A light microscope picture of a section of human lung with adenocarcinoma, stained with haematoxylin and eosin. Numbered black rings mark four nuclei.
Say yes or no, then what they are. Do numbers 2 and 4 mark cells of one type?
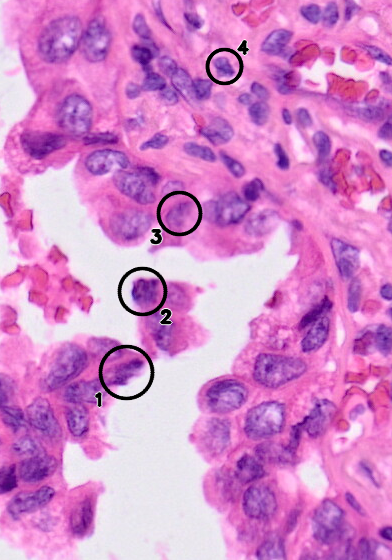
No, cell 2 is a carcinoma cell, and cell 4 is, by contrast, a lymphocyte.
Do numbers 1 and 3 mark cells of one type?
Yes, cells 1 and 3 both belong among the carcinoma cells.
